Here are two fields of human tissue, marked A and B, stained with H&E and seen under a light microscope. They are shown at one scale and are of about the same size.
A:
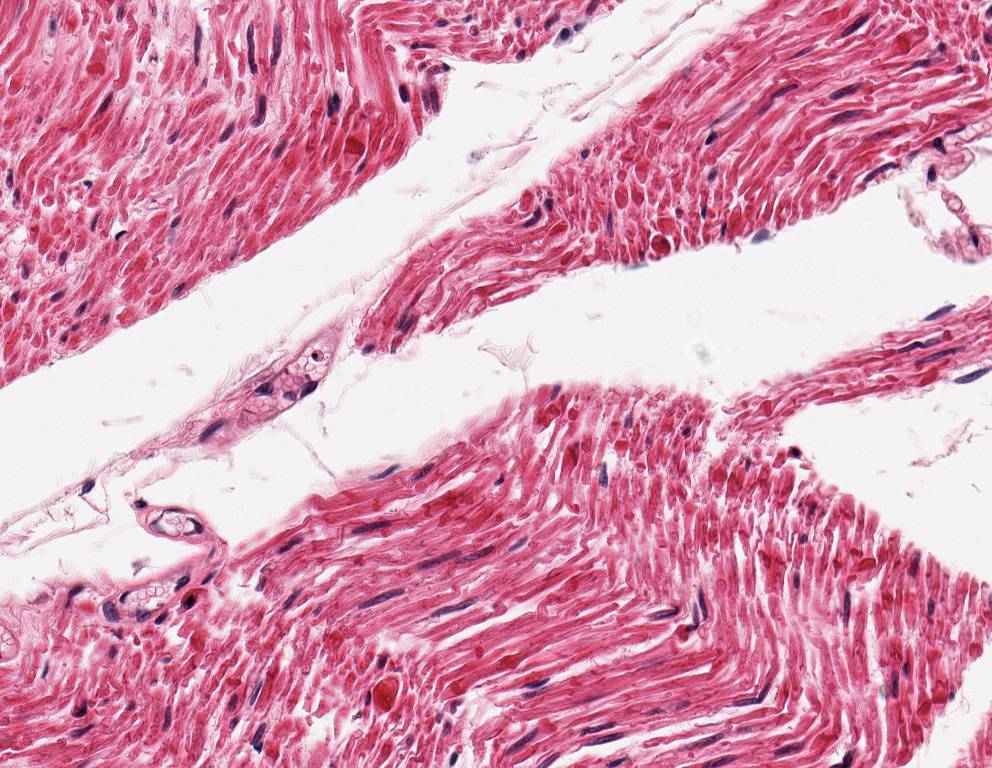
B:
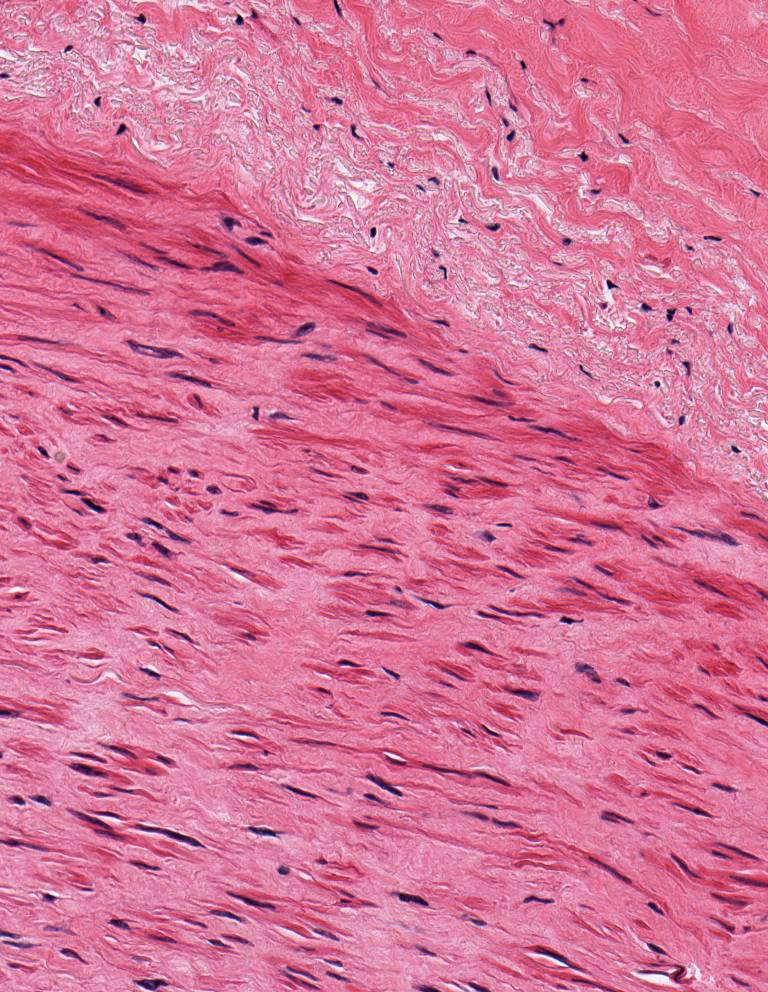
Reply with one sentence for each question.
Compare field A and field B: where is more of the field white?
Unstained space takes up more of field A than of field B.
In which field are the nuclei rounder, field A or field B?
On the whole the nuclei of field A are rounder than those of field B.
